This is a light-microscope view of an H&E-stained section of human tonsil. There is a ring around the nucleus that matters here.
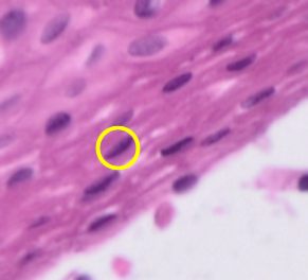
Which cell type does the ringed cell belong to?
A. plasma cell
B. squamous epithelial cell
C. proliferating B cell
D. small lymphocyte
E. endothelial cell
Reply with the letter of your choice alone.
B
